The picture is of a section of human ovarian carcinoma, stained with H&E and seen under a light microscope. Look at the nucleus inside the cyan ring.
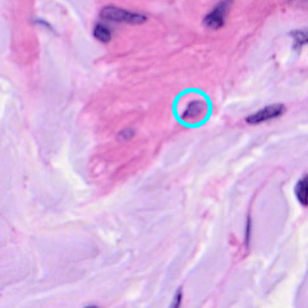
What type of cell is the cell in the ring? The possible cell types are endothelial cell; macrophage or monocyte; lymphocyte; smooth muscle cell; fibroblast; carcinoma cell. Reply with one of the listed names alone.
smooth muscle cell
